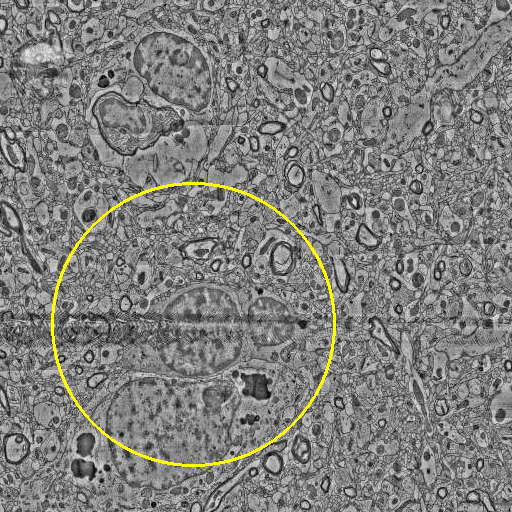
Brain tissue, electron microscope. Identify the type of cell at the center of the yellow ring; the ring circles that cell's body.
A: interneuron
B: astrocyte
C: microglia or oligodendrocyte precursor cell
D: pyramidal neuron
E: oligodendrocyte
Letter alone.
E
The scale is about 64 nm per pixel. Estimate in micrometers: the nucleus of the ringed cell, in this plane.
Approximately 6 micrometres across in this plane.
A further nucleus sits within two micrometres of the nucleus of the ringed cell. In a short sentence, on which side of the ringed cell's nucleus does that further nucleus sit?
That other nucleus lies to the lower left of it.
